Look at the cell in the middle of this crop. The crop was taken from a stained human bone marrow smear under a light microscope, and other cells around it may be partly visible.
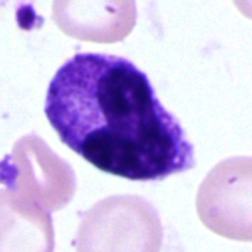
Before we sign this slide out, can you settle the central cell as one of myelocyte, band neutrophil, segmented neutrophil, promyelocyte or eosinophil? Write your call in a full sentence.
Among the cells in view, the one in the middle is a band neutrophil.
